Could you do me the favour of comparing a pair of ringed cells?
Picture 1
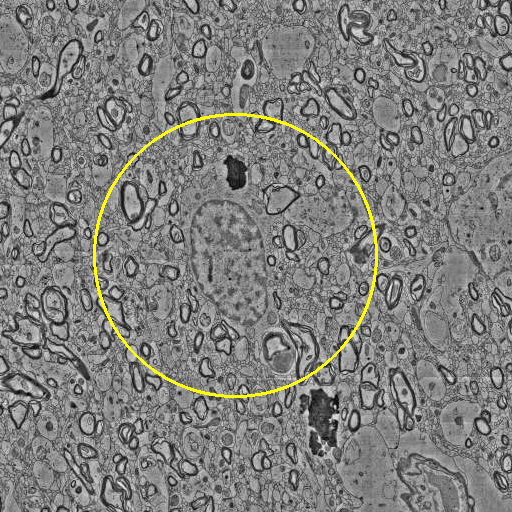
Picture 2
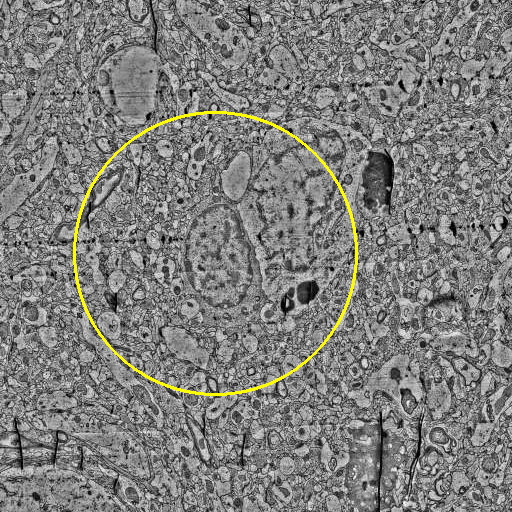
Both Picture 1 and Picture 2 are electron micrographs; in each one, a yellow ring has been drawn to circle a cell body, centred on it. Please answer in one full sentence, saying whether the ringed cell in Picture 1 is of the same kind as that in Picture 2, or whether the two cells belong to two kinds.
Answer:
The ringed cell in Picture 1 is of the same kind as that in Picture 2.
